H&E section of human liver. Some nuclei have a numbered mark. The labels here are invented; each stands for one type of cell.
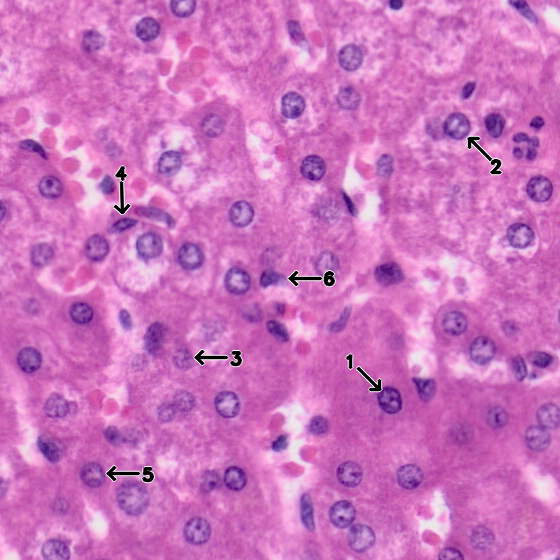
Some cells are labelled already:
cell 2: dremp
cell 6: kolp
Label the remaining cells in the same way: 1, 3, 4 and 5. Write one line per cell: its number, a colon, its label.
1: dremp
3: dremp
4: kolp
5: dremp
